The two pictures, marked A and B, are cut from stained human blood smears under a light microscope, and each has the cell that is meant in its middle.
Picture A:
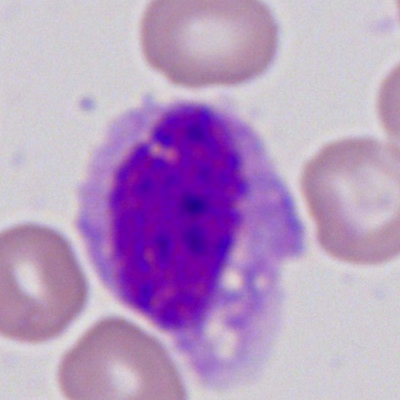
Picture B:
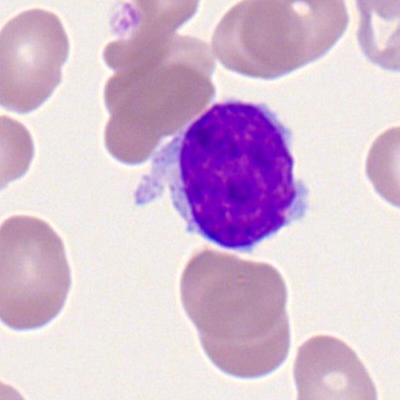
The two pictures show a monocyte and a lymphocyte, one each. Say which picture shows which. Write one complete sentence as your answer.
Picture A shows a monocyte and picture B shows a lymphocyte.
